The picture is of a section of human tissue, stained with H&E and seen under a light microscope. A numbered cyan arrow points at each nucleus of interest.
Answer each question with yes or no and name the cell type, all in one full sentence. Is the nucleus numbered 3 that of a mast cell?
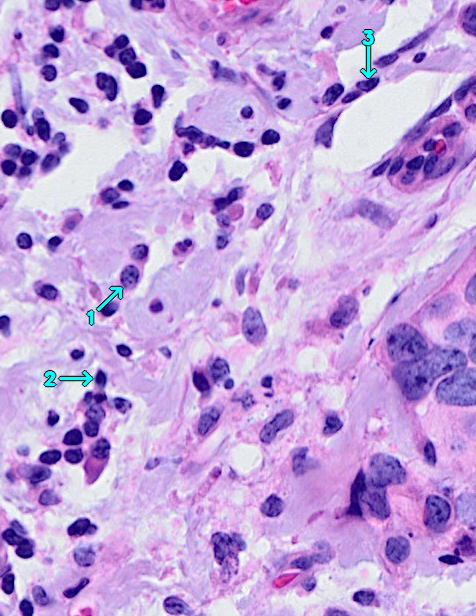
No, it is a lymphocyte, not a mast cell, that number 3 marks.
